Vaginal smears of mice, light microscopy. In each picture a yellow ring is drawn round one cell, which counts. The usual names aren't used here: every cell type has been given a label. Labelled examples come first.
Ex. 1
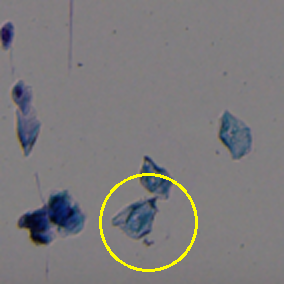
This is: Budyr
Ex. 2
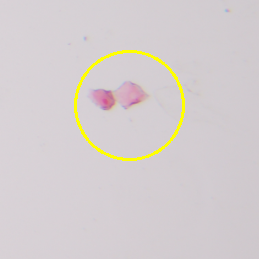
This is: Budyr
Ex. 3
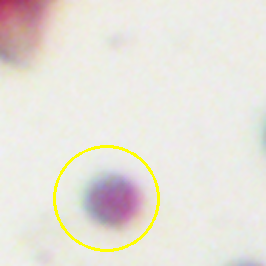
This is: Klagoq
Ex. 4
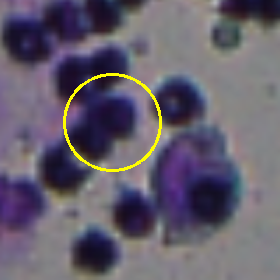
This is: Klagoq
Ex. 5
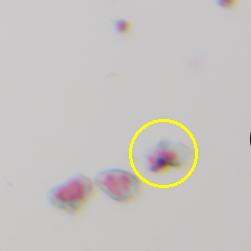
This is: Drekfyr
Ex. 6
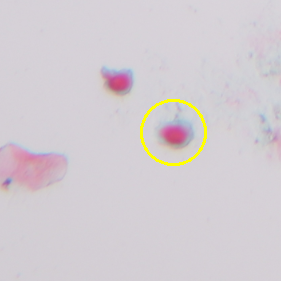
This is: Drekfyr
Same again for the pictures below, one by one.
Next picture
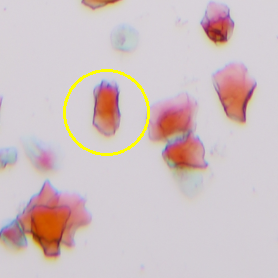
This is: Budyr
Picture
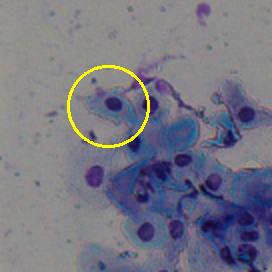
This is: Drekfyr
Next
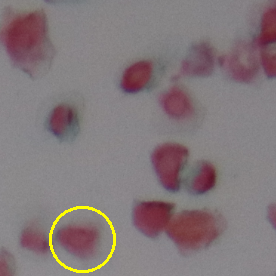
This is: Drekfyr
